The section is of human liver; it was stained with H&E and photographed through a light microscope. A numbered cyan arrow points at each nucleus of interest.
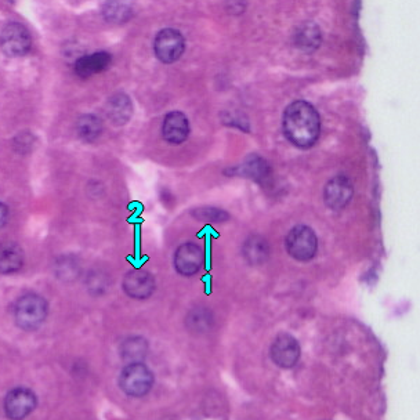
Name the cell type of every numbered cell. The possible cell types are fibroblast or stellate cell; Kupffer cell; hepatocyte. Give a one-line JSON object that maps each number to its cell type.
{"1": "fibroblast or stellate cell", "2": "hepatocyte"}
